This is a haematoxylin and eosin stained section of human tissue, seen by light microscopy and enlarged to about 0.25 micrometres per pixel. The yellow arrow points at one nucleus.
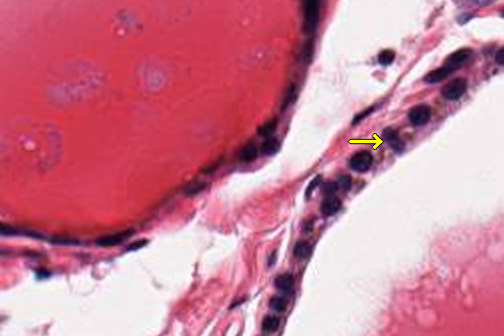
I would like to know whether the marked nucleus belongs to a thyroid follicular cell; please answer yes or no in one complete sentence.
Yes, the marked nucleus is that of a thyroid follicular cell.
